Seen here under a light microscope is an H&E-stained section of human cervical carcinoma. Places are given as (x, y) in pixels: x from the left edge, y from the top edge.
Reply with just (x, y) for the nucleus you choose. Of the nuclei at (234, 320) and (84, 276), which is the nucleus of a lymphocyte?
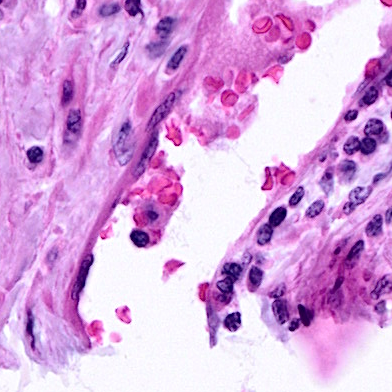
(234, 320)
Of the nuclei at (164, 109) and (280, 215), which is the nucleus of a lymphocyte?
(280, 215)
